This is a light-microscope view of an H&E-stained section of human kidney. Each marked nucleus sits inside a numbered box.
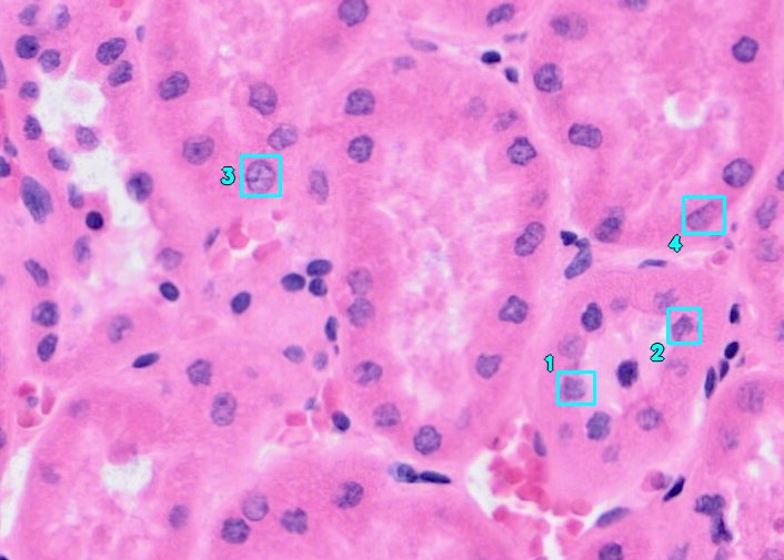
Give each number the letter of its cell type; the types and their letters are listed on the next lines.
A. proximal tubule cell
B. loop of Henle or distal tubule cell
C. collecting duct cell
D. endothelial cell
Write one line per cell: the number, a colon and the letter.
1: B
2: B
3: A
4: A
